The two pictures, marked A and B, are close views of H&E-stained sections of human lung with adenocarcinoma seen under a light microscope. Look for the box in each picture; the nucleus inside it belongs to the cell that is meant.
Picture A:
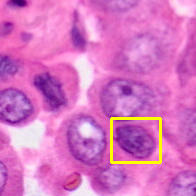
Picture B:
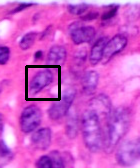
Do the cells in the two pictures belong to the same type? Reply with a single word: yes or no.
no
